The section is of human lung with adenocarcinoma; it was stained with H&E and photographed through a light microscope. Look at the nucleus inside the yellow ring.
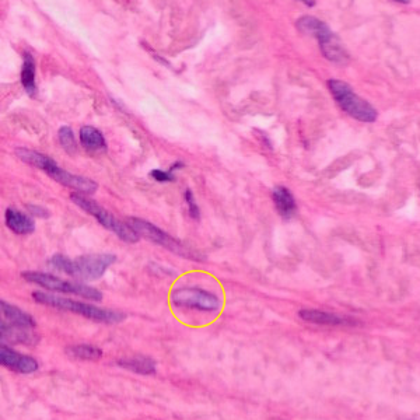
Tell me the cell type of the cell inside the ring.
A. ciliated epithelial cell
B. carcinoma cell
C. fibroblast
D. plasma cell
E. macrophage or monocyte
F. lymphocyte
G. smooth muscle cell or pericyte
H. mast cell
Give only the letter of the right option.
G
